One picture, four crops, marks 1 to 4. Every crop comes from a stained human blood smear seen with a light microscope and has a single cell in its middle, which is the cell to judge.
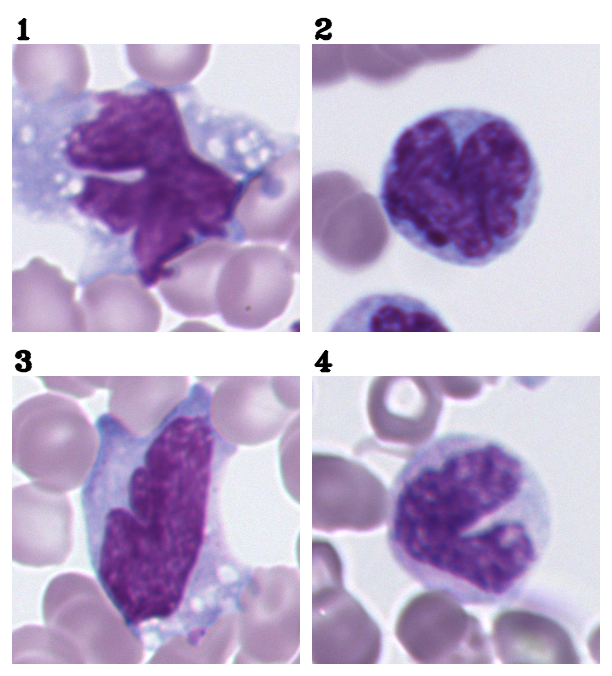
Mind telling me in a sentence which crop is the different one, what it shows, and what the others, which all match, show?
Crop 4 presents a band neutrophil, while monocytes are presented by all other crops.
